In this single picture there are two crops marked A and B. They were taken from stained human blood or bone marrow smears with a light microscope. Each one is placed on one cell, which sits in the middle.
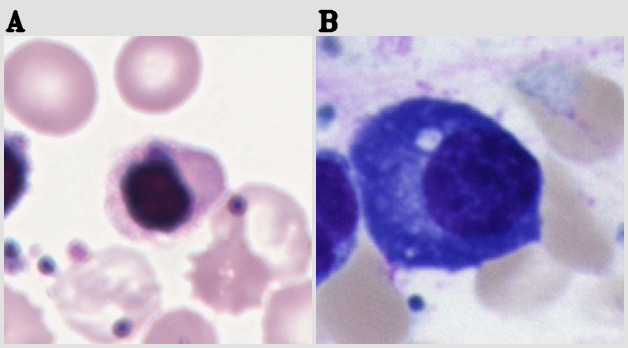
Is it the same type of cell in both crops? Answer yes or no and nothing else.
no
